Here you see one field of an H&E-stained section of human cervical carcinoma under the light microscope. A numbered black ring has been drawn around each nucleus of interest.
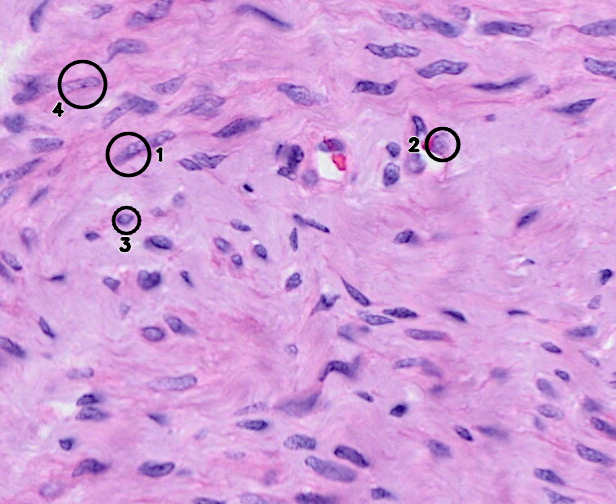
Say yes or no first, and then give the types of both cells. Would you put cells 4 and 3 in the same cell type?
Yes, both cells 4 and 3 are smooth muscle cells.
